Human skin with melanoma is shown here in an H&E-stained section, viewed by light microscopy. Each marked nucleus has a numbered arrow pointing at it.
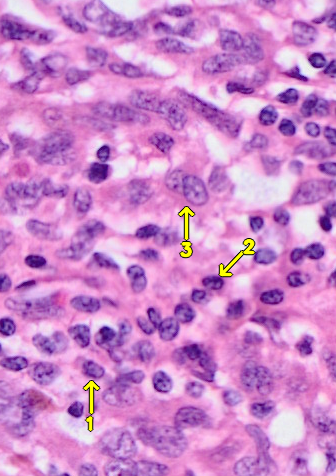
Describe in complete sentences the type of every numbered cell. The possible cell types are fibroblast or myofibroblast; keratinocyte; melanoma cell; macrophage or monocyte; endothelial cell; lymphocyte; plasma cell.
Cell 1 is a lymphocyte. Cell 2 is a plasma cell. Cell 3 is a melanoma cell.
